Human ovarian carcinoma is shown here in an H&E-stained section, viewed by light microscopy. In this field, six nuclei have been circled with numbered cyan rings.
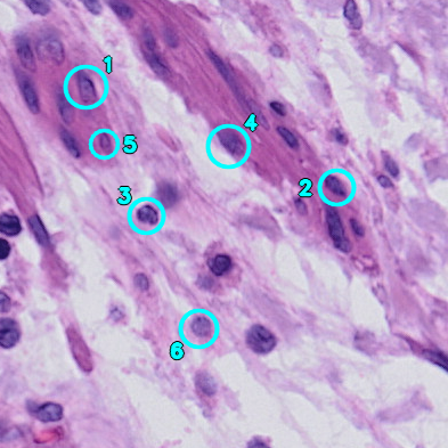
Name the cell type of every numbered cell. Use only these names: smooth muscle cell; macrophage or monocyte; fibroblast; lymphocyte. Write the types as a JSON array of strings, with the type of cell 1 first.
["smooth muscle cell", "smooth muscle cell", "lymphocyte", "smooth muscle cell", "smooth muscle cell", "macrophage or monocyte"]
